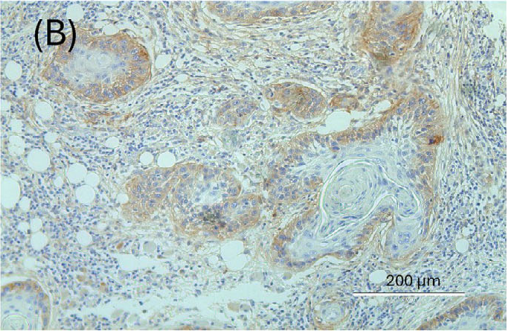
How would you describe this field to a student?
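These are nests of a well-differentiated squamous tumour lying in a stroma dotted with empty round fat spaces and scattered small nuclei. Brown stain picks out the non-keratinising cells along the rim of each nest, while the middle of the largest nest is filled with pale, concentrically layered keratin that stays unstained.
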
